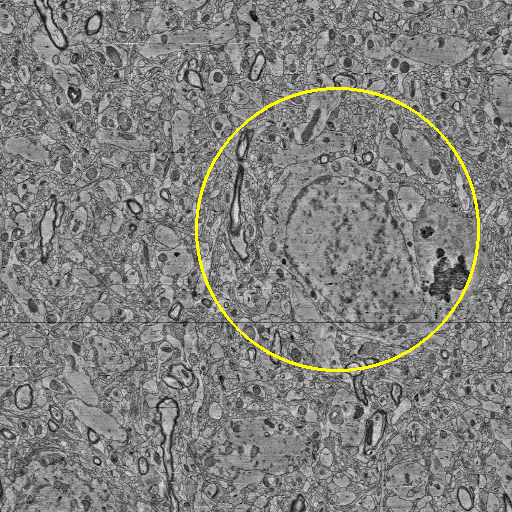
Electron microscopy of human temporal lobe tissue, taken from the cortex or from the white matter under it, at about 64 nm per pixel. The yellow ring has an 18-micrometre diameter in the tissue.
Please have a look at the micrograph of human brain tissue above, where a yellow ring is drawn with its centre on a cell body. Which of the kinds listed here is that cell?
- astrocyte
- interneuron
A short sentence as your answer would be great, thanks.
At the centre of the ring sits an interneuron.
